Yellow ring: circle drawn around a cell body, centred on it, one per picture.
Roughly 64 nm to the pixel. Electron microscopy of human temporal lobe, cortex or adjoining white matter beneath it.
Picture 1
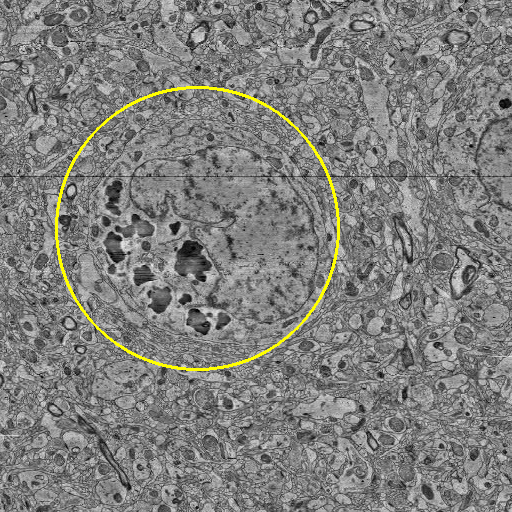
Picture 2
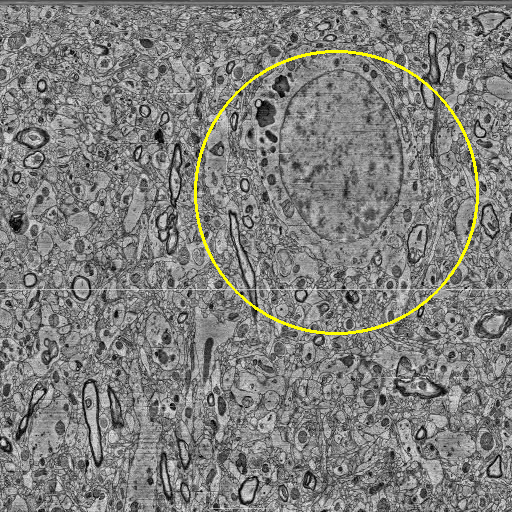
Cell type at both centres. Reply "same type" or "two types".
same type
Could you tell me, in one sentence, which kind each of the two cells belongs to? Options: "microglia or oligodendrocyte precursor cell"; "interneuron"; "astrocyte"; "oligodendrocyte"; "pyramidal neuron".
Each of the ringed cells, first and second, is an interneuron.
